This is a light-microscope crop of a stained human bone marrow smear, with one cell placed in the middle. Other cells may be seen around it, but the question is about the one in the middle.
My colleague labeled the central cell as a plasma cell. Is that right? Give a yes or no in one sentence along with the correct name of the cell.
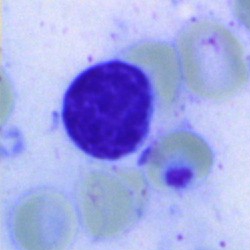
No, the cell placed at the center is a lymphocyte rather than a plasma cell.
